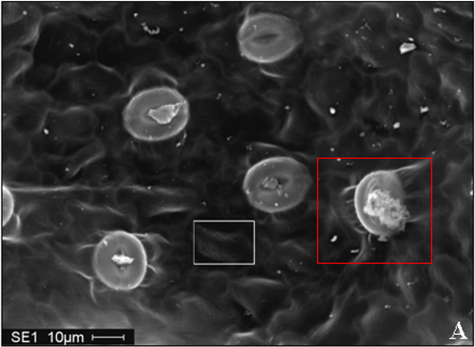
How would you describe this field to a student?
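This scanning electron micrograph shows a leaf epidermis with several stomata scattered among flat epidermal cells. Each stoma is a raised, elliptical structure formed by a pair of curved guard cells around a central pore. Several of the stomatal pores are partly covered or plugged by bright, irregular particulate material. Small bright particles are scattered over the surface between the cells.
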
